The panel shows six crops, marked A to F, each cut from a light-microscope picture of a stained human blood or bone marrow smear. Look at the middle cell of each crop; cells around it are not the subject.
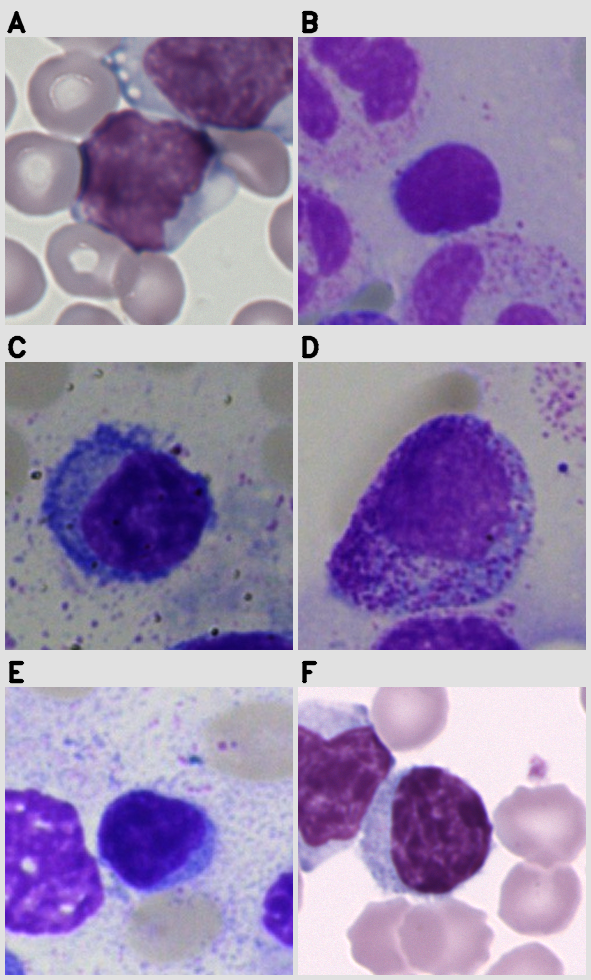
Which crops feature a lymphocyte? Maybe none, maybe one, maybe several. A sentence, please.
What crops B, C, E and F show in the middle are lymphocytes.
